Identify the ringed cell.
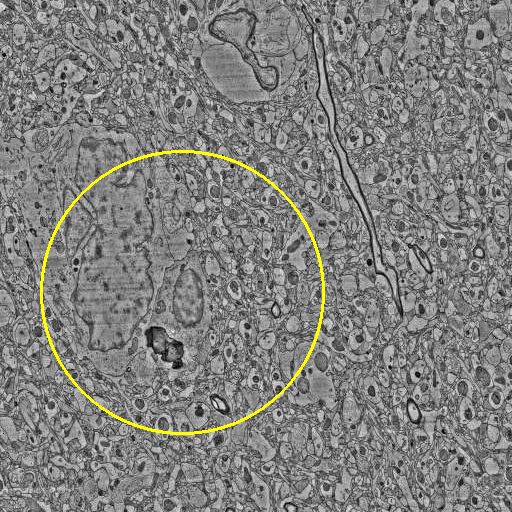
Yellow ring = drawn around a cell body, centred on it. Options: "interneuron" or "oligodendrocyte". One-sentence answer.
What the ring is centred on is an oligodendrocyte.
